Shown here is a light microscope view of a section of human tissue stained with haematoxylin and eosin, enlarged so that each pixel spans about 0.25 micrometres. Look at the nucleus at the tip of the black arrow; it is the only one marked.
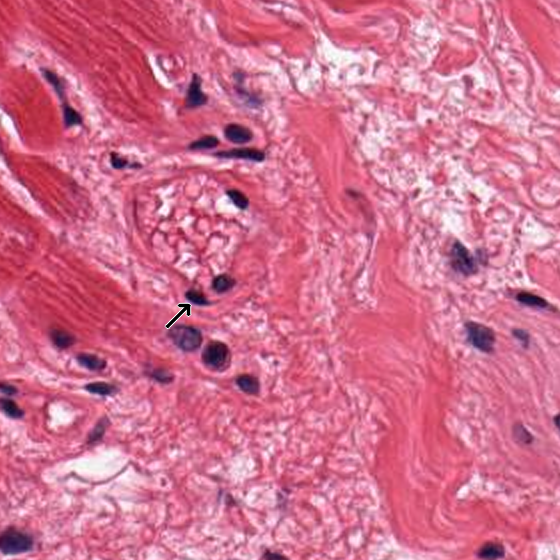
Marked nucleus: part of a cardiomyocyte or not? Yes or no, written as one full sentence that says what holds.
No, not to a cardiomyocyte does the marked nucleus belong, but to a supporting cell.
